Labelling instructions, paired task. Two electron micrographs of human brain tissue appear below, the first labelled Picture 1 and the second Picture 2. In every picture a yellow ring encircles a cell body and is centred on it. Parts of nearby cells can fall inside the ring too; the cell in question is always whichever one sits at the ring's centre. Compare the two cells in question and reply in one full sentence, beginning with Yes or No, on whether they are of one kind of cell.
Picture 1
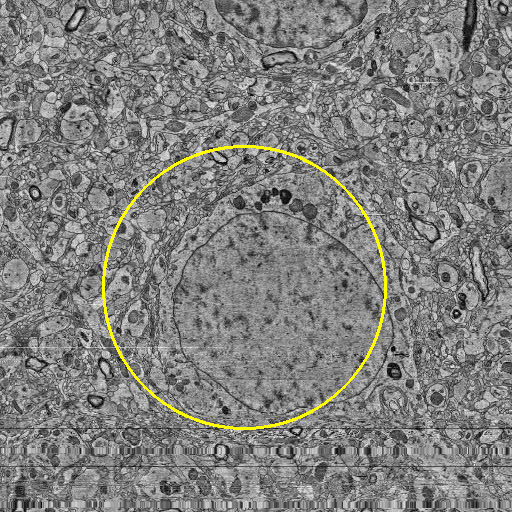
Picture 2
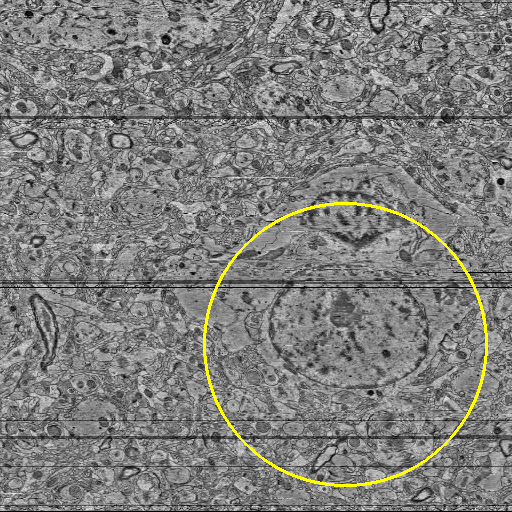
No, the two cells at the ring centres in Picture 1 and Picture 2 are of two kinds.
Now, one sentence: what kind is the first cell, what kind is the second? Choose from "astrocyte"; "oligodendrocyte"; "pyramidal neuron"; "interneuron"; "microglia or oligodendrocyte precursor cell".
The first picture has a pyramidal neuron at its ring centre, and the second has an astrocyte.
